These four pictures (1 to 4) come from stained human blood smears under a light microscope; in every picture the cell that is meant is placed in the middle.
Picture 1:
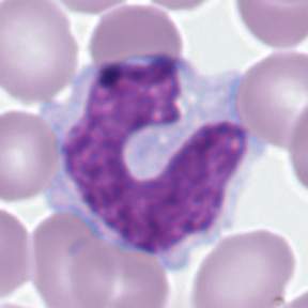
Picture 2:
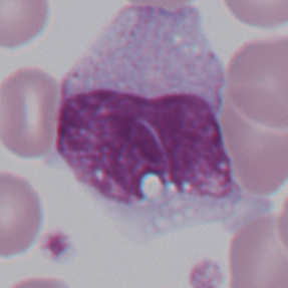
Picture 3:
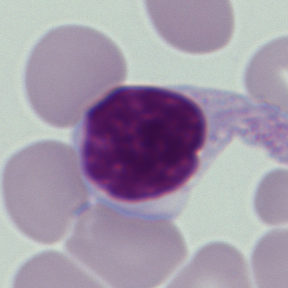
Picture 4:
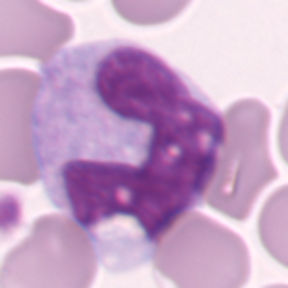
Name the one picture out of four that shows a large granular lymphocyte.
3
